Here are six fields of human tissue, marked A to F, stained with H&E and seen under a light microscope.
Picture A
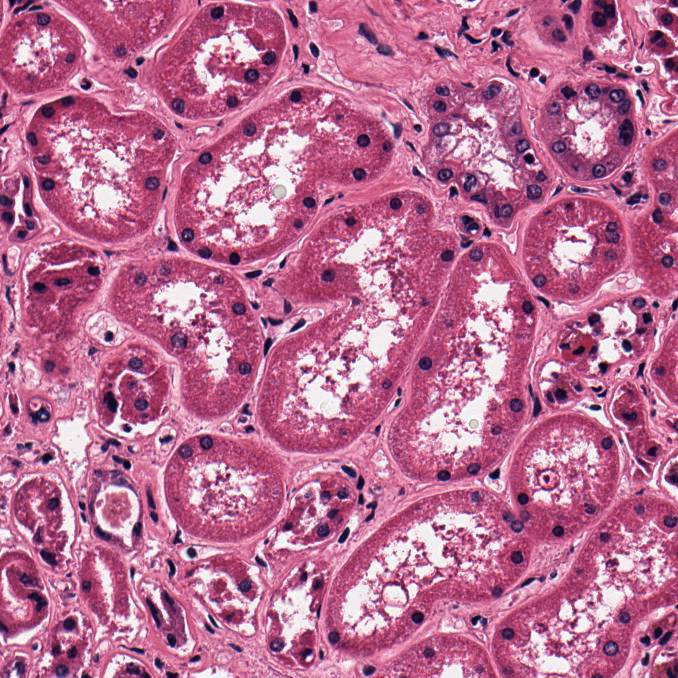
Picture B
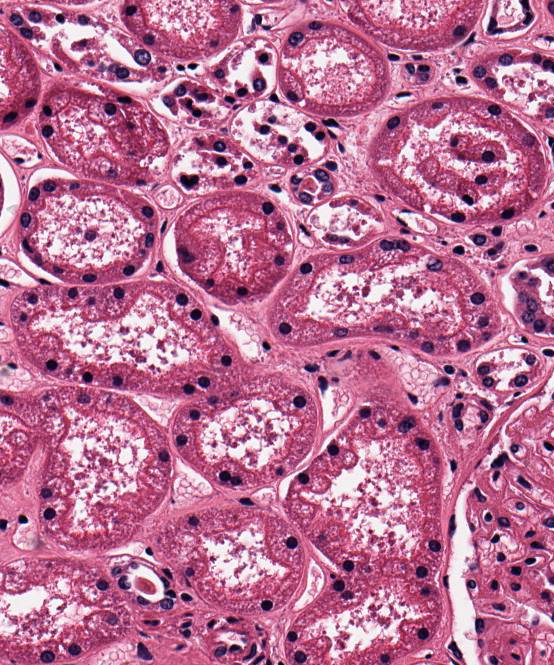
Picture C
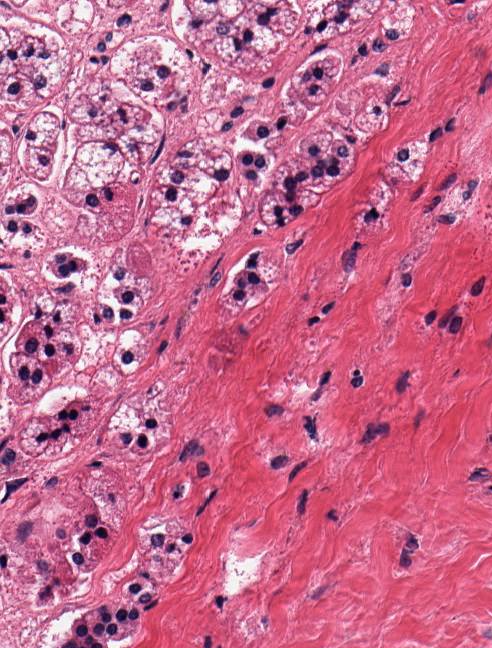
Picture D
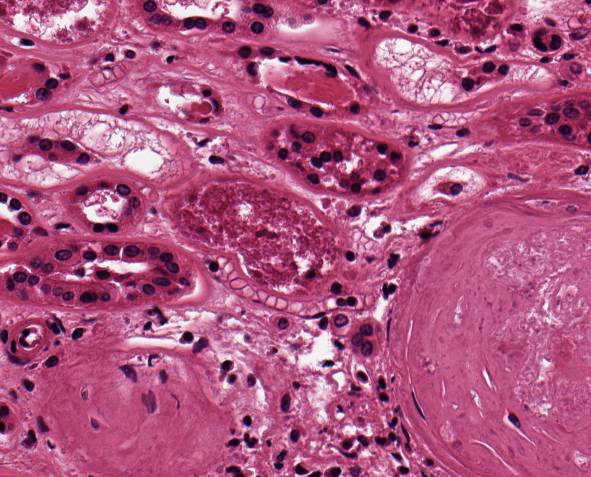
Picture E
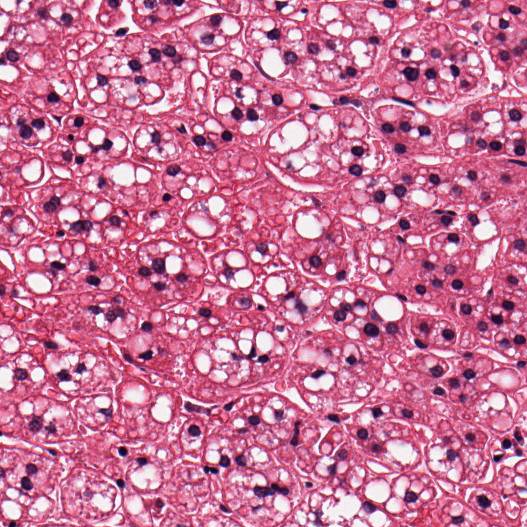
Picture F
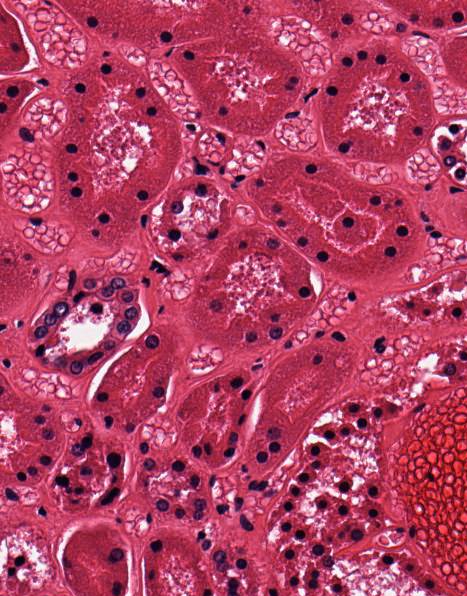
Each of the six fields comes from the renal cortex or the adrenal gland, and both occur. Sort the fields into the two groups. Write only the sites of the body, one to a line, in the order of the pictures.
renal cortex
renal cortex
adrenal gland
renal cortex
adrenal gland
renal cortex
